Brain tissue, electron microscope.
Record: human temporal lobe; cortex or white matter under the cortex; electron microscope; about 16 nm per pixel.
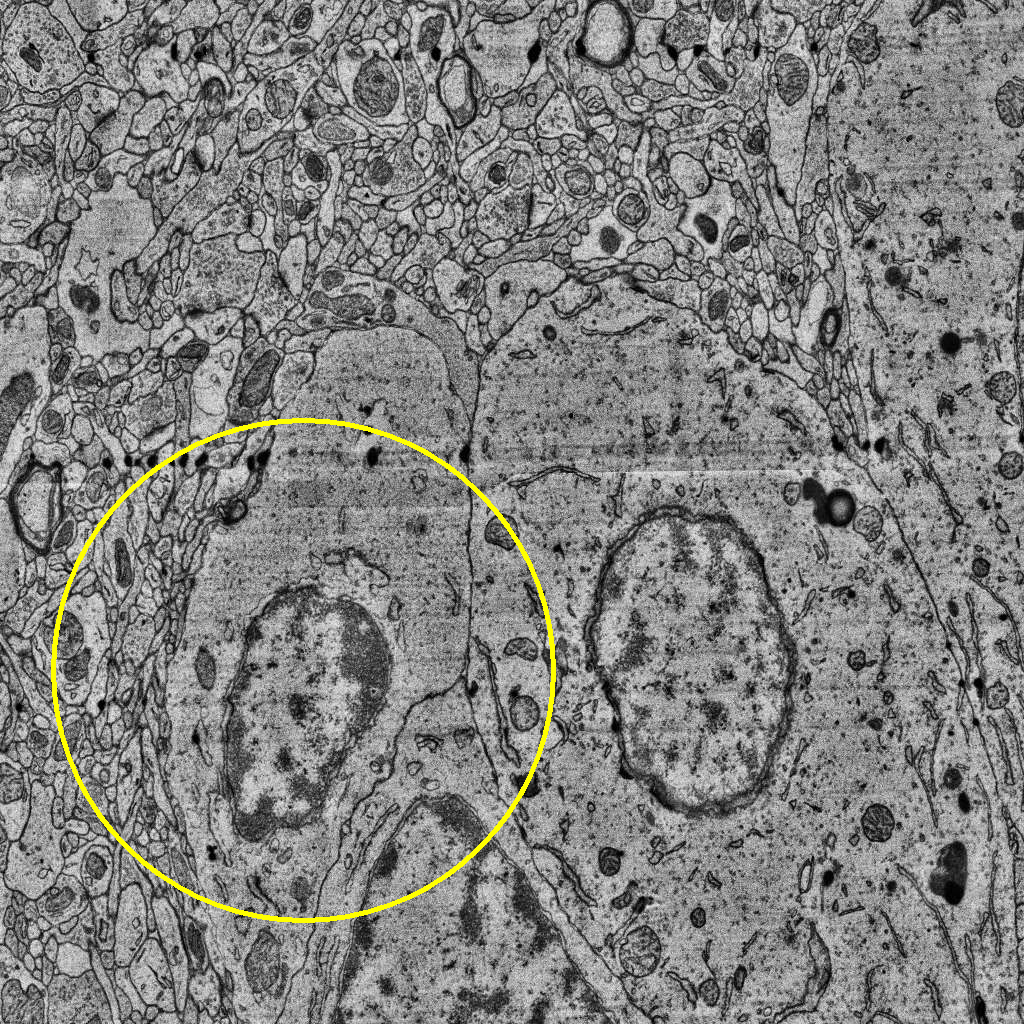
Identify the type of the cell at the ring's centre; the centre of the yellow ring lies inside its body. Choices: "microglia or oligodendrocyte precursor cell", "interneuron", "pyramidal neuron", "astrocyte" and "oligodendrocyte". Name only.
microglia or oligodendrocyte precursor cell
